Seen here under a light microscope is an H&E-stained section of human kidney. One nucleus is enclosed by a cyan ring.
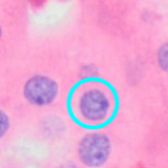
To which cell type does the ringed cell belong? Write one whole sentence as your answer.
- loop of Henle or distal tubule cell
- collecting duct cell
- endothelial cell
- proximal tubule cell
Microscopically, the ringed cell is categorized as a loop of Henle or distal tubule cell.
